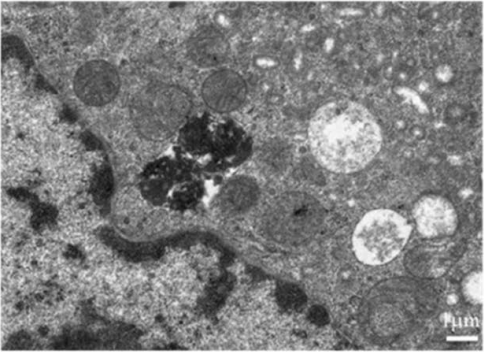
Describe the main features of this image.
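Several round mitochondria with visible cristae lie scattered through a finely granular cytoplasm. Near the centre sits a cluster of very dark, irregular, clumped particles, much denser than anything around them. To the right are a few rounded, pale vacuoles holding loose, flocculent material.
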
